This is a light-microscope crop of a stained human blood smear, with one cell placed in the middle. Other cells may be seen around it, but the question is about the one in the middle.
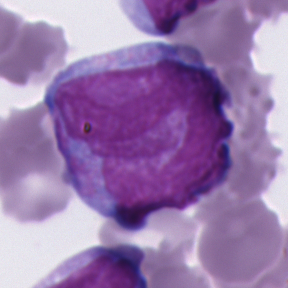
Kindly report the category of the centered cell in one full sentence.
The cell centered in this field of view is a myeloblast.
